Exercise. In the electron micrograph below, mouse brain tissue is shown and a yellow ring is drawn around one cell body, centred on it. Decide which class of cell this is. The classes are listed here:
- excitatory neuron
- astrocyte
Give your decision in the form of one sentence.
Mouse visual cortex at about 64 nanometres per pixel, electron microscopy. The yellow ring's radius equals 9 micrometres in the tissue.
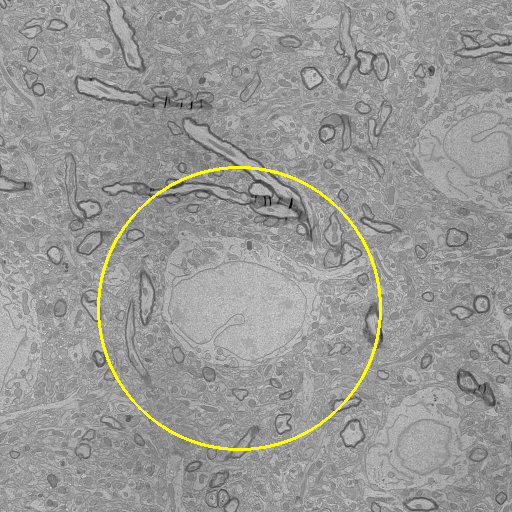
The cell body marked by the ring belongs to an excitatory neuron.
